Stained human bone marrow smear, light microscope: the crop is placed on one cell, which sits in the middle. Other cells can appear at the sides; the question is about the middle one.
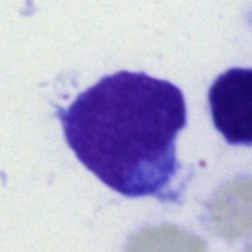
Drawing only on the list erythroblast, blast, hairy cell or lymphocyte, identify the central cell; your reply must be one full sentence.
In short, the cell at the center is a blast.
